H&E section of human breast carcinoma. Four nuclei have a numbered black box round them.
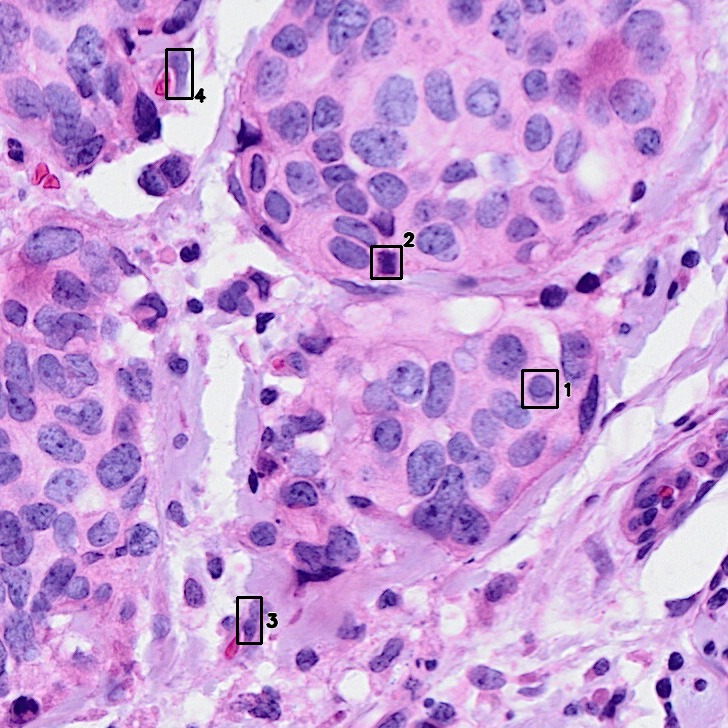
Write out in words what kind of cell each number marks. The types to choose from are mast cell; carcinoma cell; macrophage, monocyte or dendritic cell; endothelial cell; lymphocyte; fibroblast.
Cells 1 and 2 are carcinoma cells. Cells 3 and 4 are endothelial cells.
